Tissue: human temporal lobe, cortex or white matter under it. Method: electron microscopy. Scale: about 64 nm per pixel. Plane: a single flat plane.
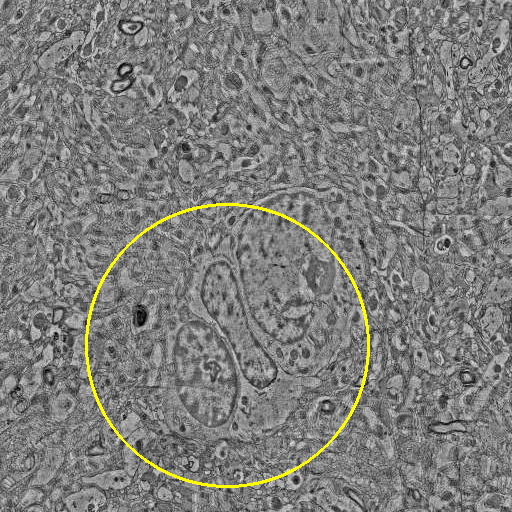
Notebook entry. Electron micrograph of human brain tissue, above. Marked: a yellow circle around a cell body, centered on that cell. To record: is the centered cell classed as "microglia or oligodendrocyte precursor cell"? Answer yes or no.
Yes, the centered cell is classed that way.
